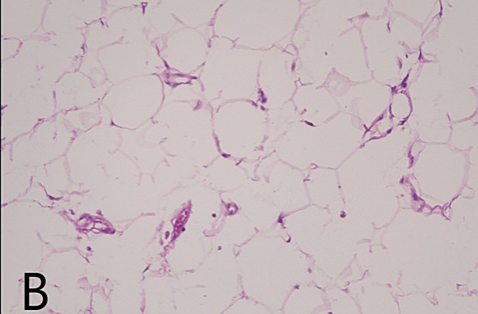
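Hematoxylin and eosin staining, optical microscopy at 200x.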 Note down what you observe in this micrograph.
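This is fatty tissue made of mature adipose cells, seen as large, empty-looking polygonal spaces bounded by thin pink membranes. The cells vary in shape and size. Their few nuclei are small, dark and flattened against the edge of the cell. Small thin-walled blood vessels lie in the narrow spaces between the fat cells.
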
